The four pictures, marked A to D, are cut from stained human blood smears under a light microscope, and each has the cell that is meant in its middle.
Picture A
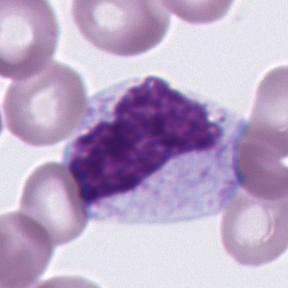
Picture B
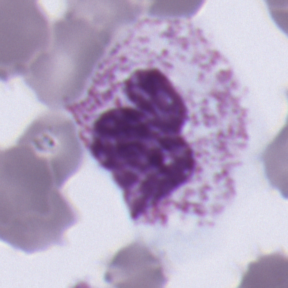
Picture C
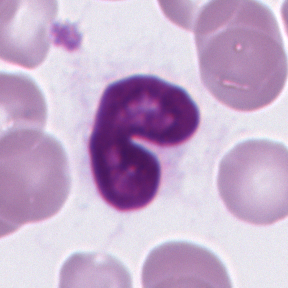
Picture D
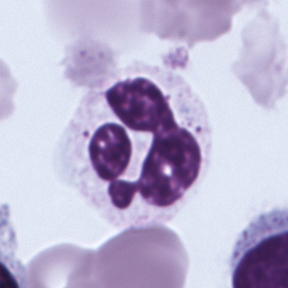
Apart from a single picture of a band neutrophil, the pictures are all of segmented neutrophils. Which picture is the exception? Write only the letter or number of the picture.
A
